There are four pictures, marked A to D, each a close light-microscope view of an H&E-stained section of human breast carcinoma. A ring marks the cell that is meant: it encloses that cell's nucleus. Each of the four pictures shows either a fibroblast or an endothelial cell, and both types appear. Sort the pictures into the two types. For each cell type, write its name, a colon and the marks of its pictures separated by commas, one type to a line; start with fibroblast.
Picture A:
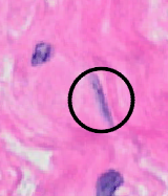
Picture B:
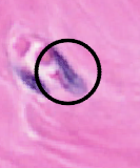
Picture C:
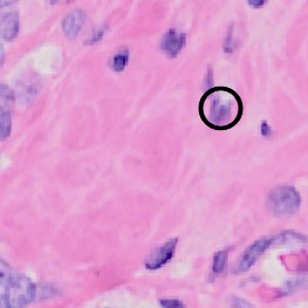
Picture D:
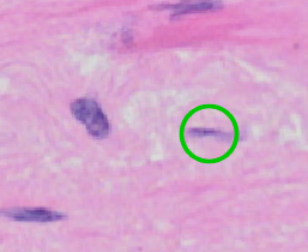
fibroblast: A, D
endothelial cell: B, C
